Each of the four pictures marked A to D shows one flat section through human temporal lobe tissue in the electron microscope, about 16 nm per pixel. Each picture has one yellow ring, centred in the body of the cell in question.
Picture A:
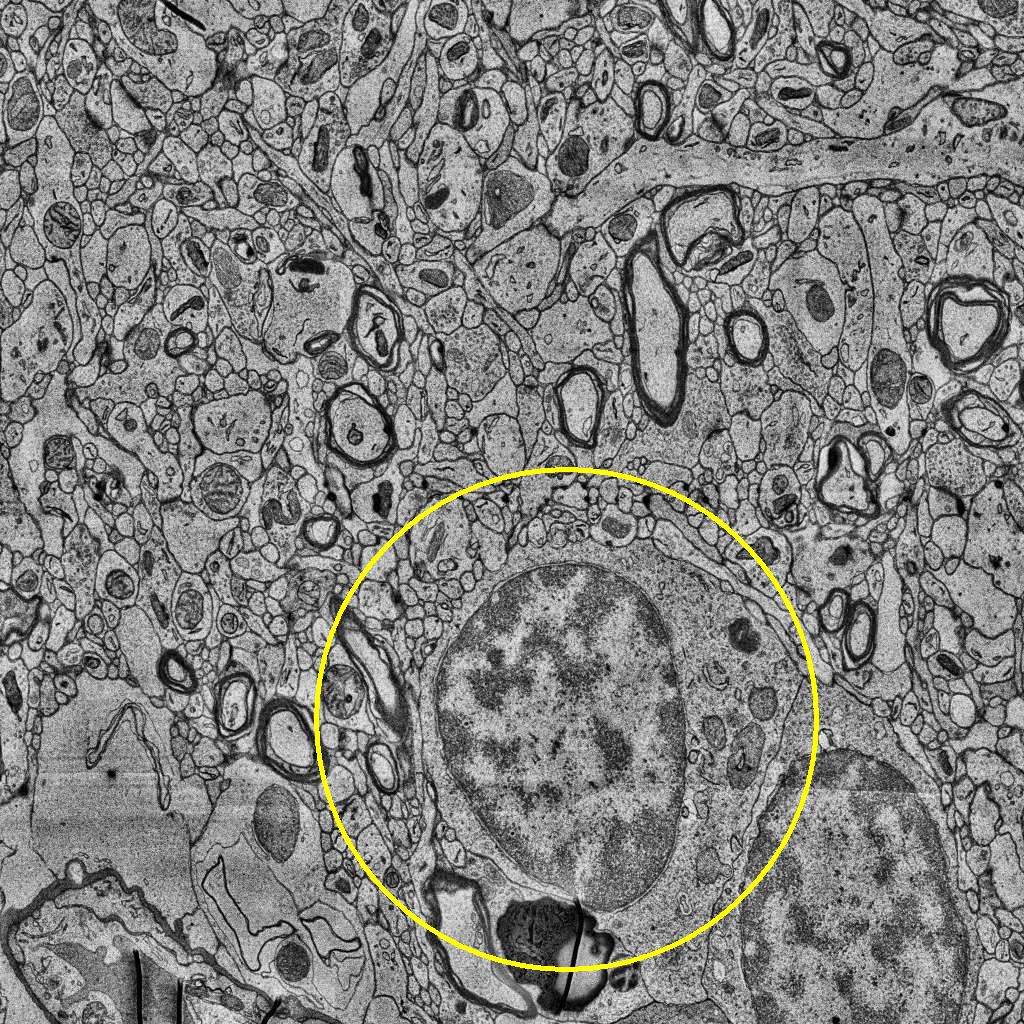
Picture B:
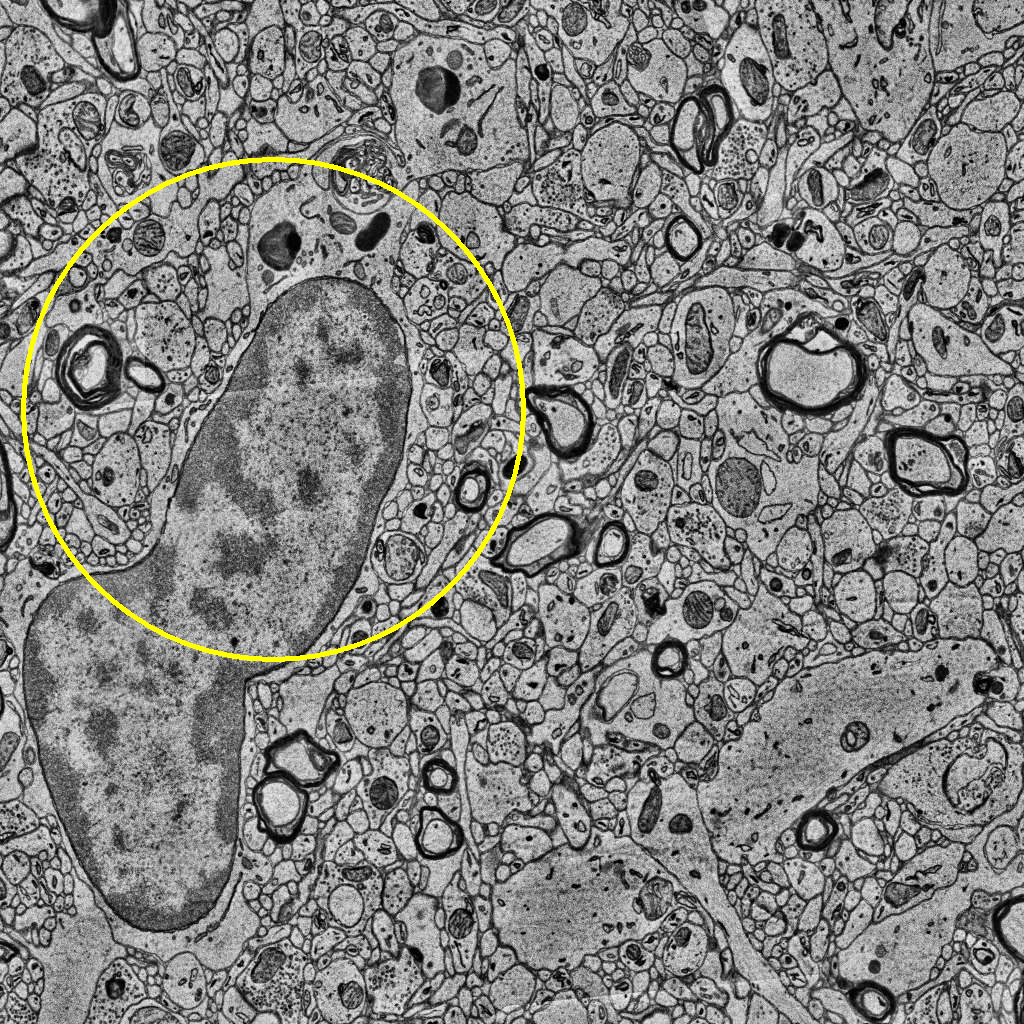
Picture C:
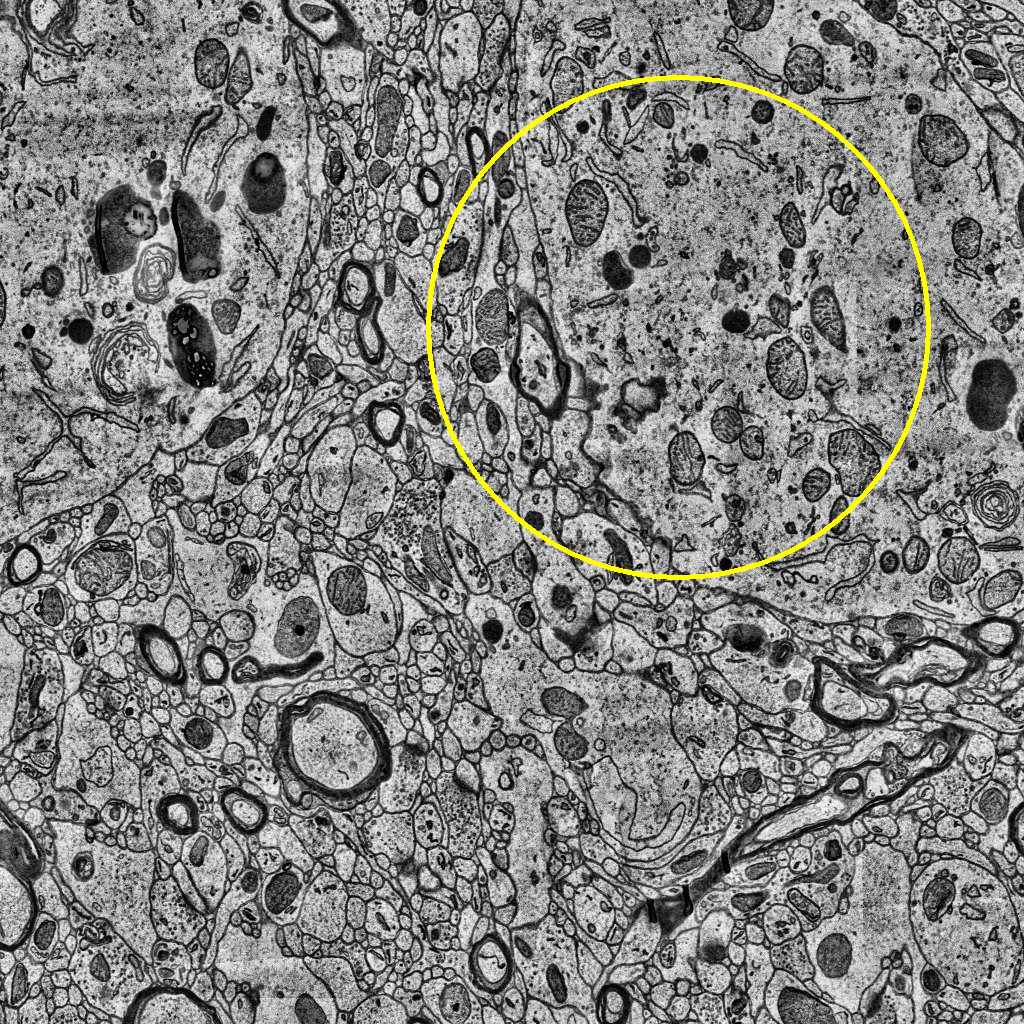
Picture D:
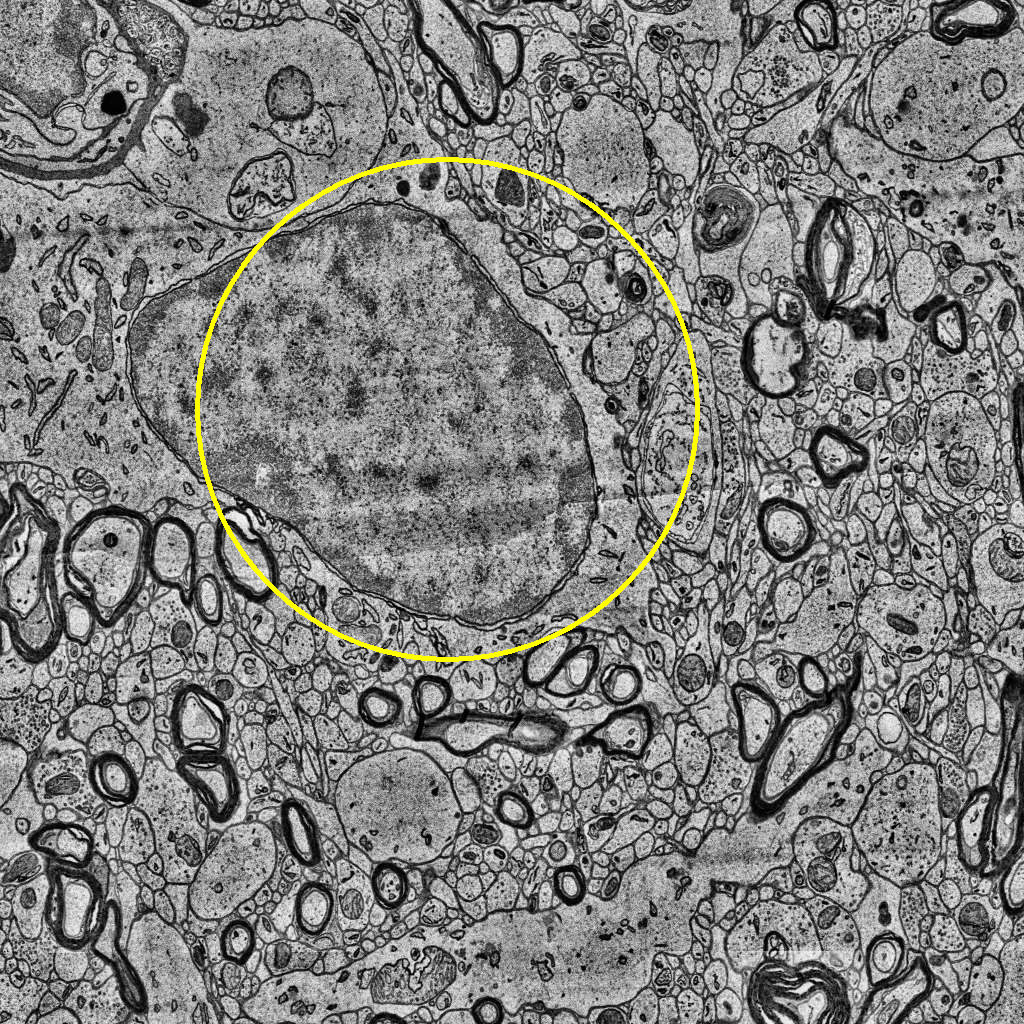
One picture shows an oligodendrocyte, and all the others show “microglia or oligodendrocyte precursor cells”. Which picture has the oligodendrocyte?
The cell in picture A is the oligodendrocyte.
